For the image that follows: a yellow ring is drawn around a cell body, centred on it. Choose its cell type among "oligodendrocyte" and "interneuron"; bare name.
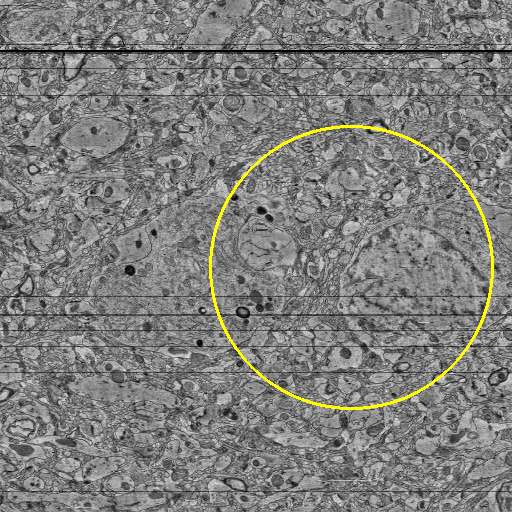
interneuron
